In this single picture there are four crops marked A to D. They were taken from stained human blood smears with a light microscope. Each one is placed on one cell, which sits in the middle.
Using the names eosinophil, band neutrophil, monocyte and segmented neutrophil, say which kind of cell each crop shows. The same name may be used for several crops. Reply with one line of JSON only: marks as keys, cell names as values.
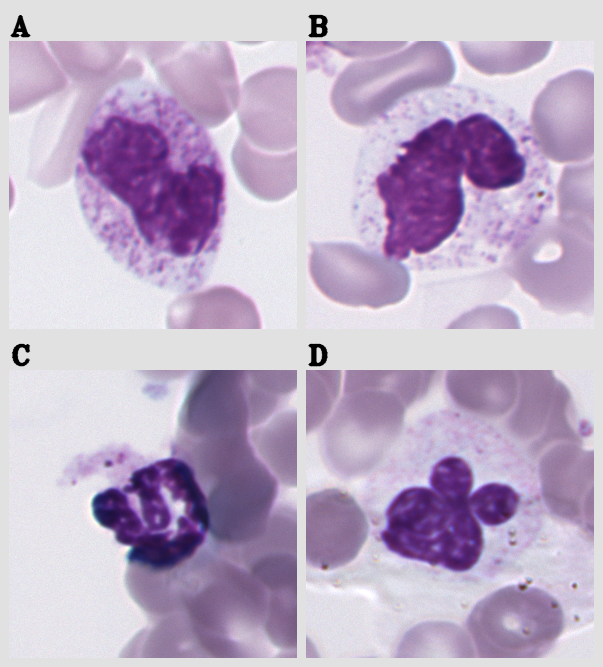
{"A": "band neutrophil", "B": "band neutrophil", "C": "segmented neutrophil", "D": "segmented neutrophil"}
